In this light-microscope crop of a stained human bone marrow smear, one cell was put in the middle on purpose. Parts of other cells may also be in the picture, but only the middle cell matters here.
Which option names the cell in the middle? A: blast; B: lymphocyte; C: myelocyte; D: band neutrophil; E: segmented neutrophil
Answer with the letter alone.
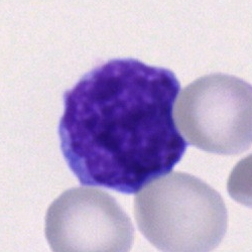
A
